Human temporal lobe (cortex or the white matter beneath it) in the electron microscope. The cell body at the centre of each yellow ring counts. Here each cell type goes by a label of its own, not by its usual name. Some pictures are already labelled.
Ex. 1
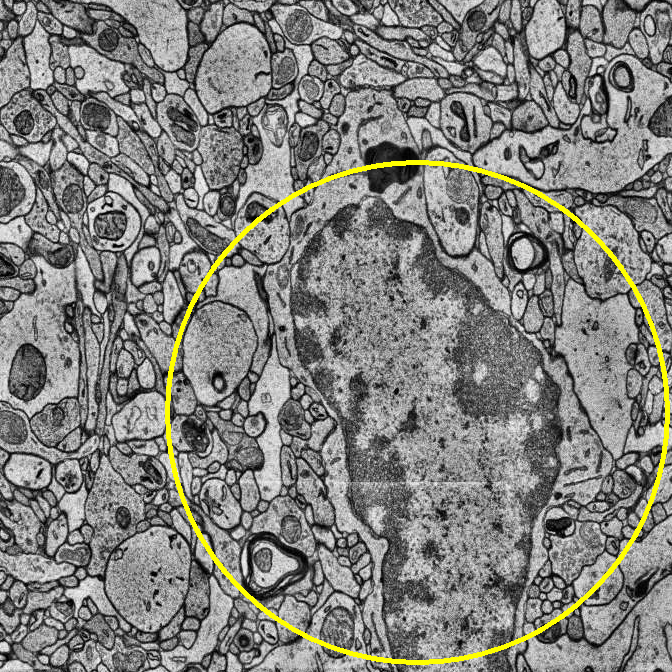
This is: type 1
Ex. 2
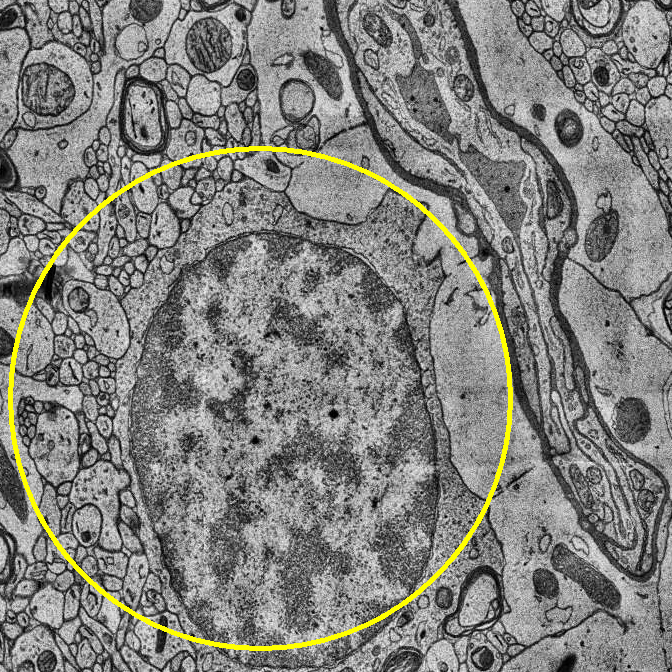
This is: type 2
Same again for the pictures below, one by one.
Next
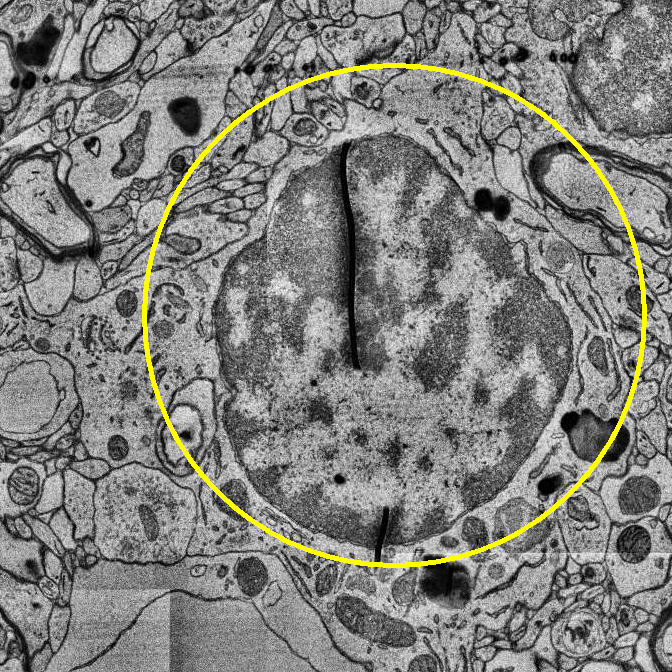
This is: type 1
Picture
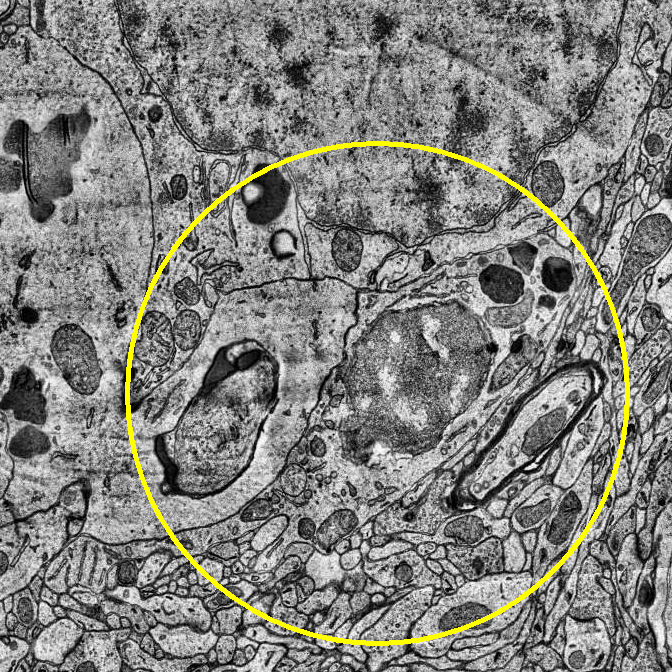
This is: type 1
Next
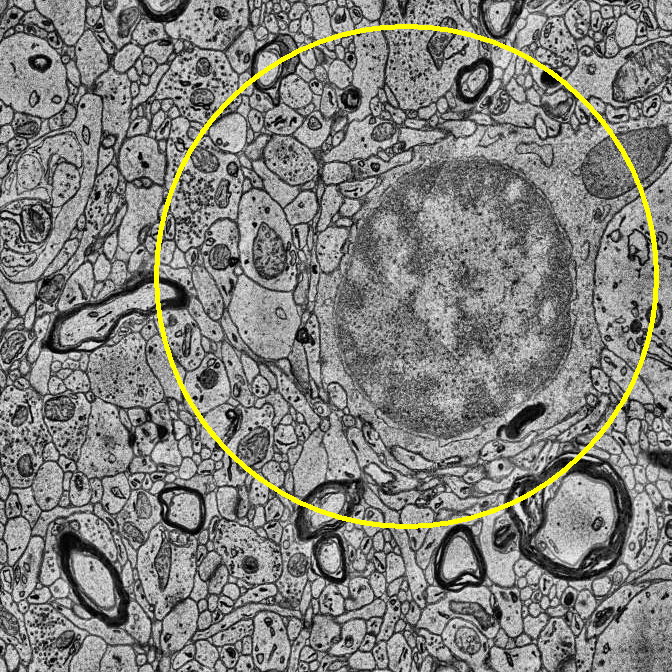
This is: type 2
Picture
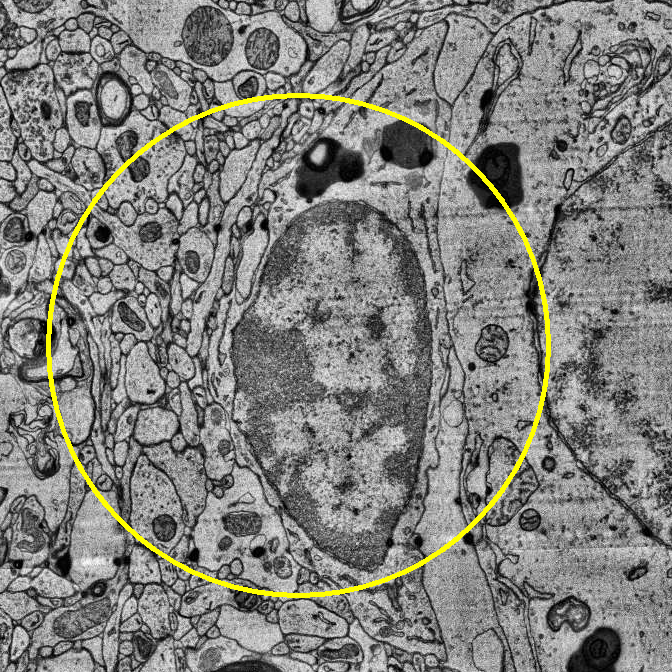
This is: type 1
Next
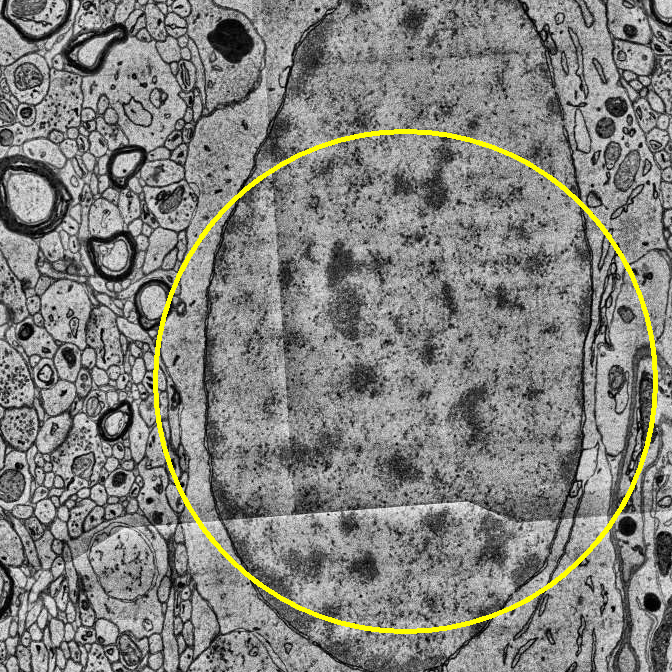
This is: type 1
